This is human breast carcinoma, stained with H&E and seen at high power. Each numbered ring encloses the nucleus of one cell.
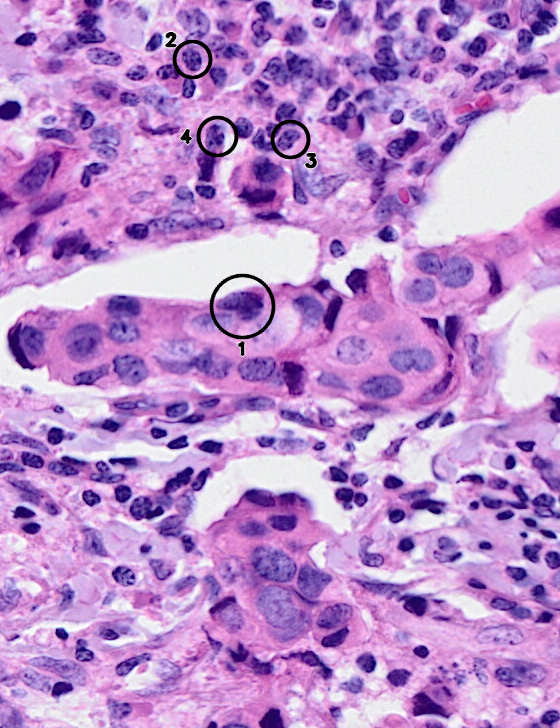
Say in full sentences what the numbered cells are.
Cell 1 is a carcinoma cell. Cells 2, 3 and 4 are lymphocytes.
